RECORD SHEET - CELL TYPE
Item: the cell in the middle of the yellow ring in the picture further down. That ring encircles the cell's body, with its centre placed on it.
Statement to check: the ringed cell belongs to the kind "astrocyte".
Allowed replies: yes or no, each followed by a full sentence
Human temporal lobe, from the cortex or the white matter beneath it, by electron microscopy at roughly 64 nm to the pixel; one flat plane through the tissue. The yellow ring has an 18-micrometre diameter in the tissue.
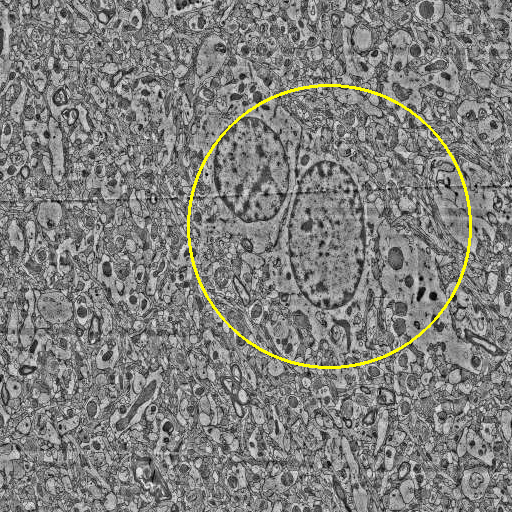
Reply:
Yes, the cell held at the centre of the ring in the picture is of that kind.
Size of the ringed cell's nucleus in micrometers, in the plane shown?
In this plane the nucleus is clearly longer than it is wide, at approximately 9 by 5 micrometres.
